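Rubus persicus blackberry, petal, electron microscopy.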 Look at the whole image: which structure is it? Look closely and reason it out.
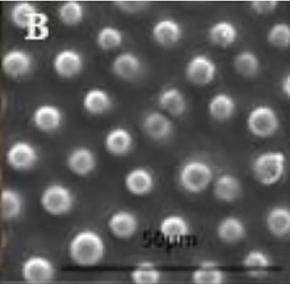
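The surface is covered with evenly spaced round domed projections. Each projection is bright at its rim and rises from a flat background. The projections are of similar size, well under the 50 μm bar. That points to this answer: conical shape.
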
